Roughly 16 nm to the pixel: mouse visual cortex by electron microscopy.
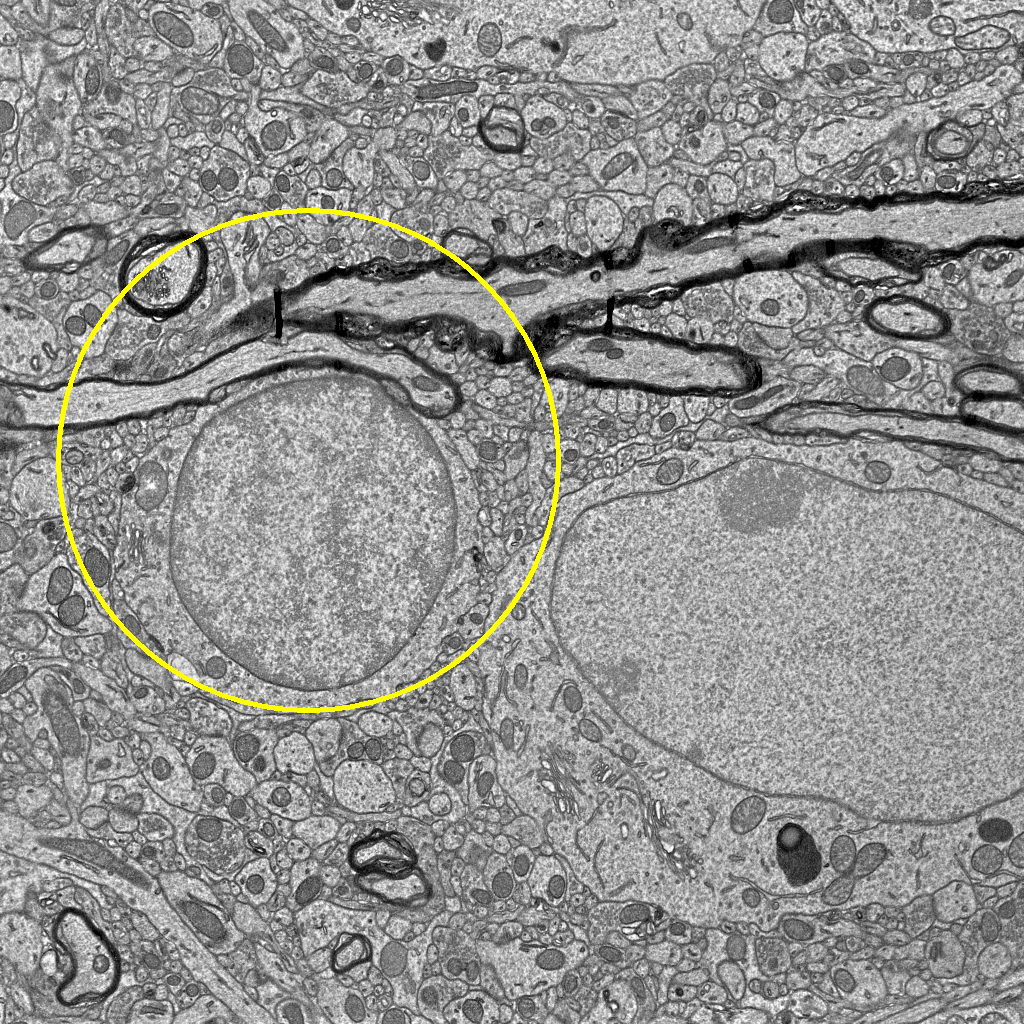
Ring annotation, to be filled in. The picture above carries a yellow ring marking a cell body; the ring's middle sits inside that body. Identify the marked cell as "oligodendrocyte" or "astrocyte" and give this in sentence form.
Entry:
The cell at the middle of the ring is an oligodendrocyte.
